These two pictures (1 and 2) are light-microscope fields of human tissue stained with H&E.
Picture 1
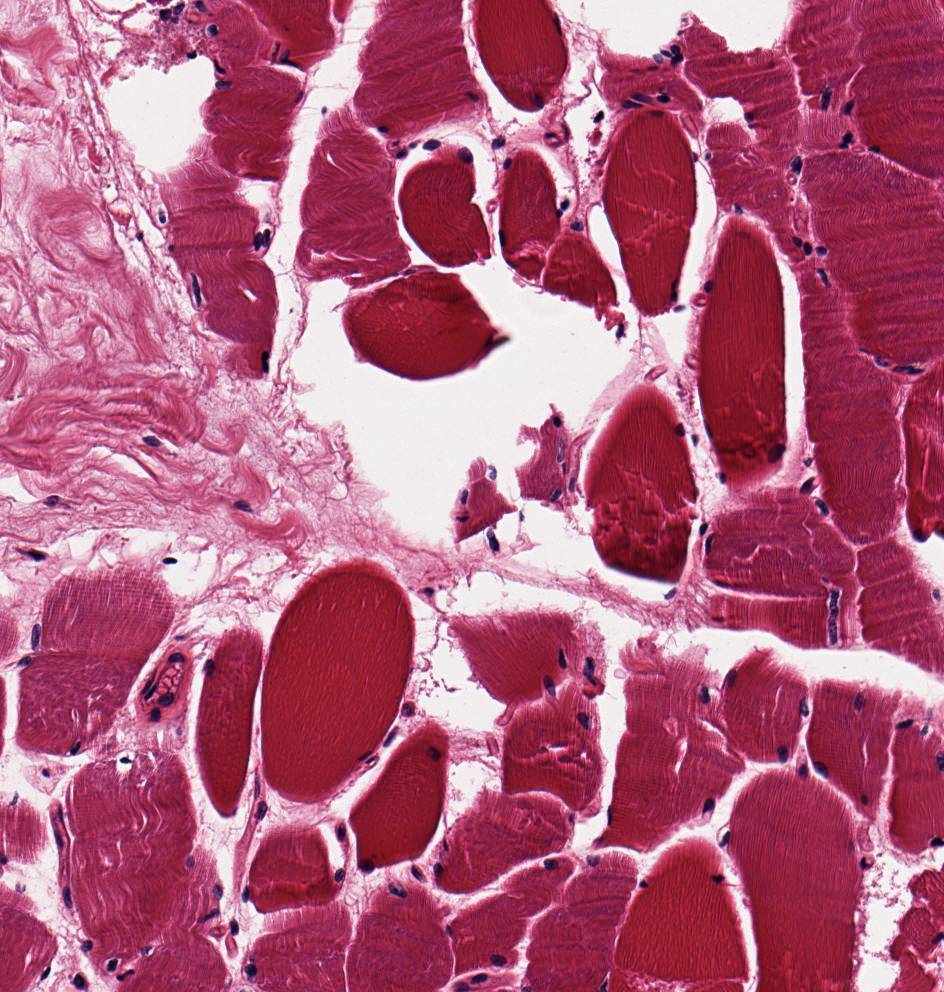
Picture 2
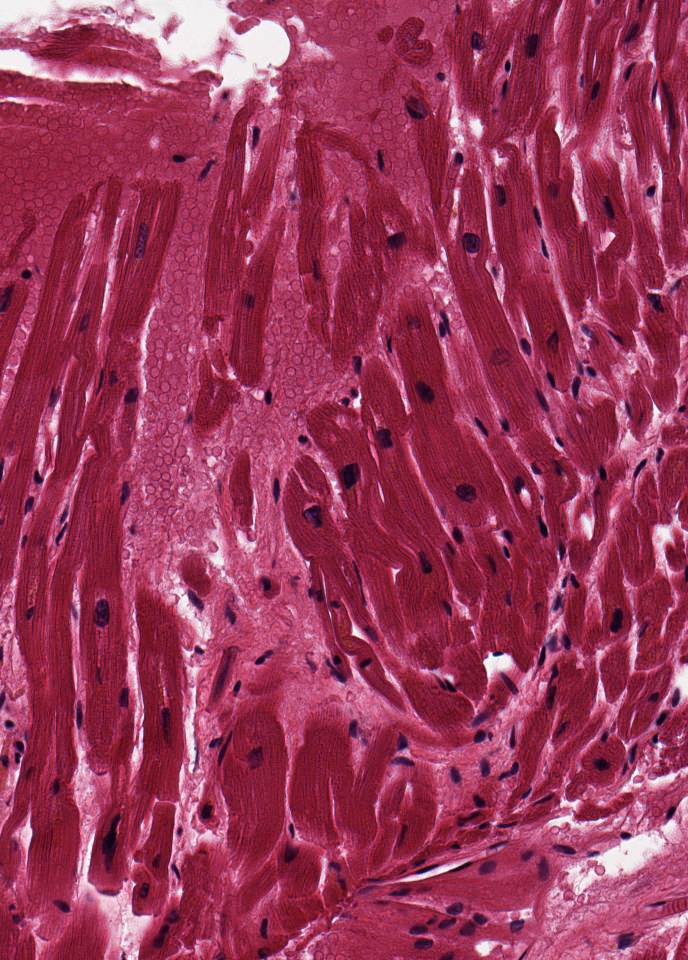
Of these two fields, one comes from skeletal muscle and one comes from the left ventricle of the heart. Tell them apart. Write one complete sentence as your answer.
It is picture 1 that comes from skeletal muscle, and picture 2 that comes from the left ventricle of the heart.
